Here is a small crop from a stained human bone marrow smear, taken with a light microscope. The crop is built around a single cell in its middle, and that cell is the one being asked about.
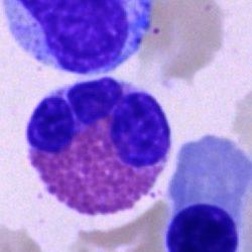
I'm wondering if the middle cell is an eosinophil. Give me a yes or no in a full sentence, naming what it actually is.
Yes, the cell that occupies the centre is an eosinophil.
